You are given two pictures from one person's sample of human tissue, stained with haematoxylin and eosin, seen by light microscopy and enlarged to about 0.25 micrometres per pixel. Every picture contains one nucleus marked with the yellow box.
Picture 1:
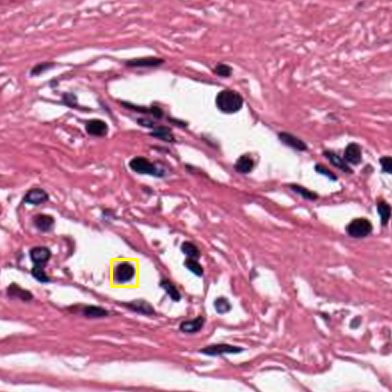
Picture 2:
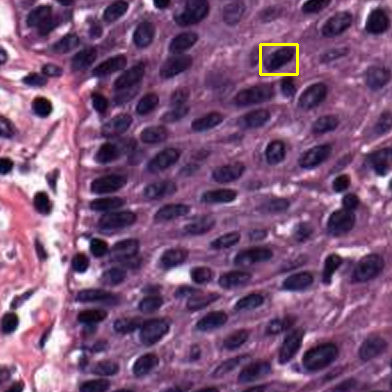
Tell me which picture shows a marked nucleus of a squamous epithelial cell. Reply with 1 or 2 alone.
2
